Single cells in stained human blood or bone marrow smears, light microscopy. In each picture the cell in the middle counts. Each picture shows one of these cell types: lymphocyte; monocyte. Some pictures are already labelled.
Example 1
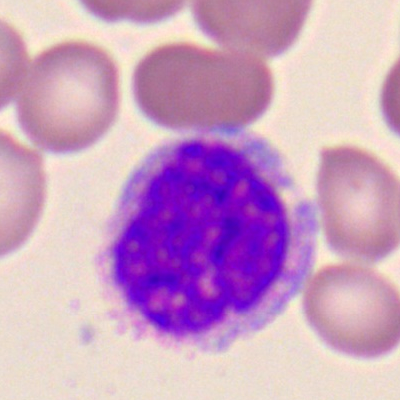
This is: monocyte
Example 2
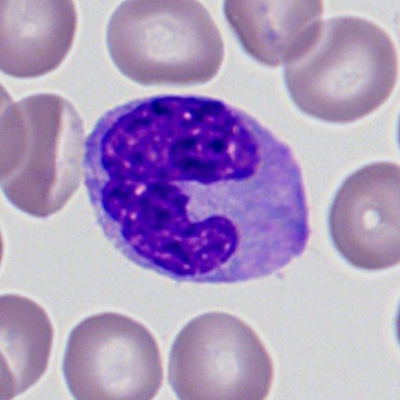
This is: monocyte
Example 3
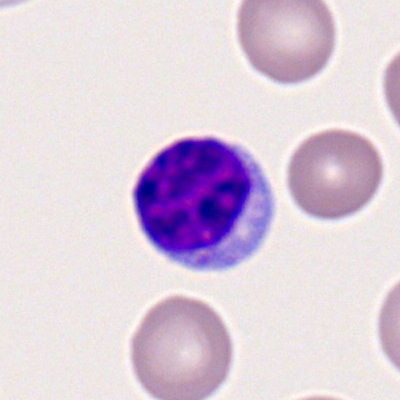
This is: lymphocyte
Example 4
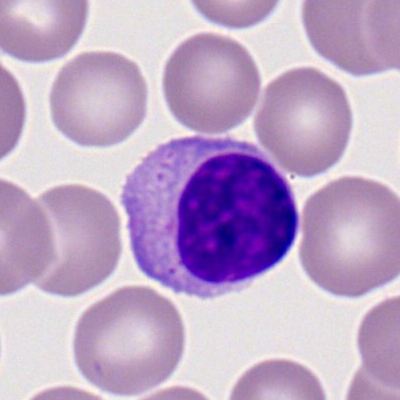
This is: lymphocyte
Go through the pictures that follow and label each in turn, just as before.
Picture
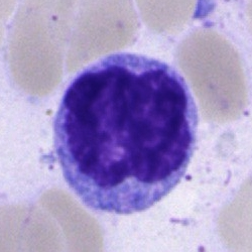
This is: monocyte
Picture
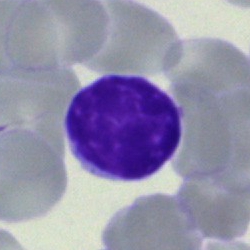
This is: lymphocyte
